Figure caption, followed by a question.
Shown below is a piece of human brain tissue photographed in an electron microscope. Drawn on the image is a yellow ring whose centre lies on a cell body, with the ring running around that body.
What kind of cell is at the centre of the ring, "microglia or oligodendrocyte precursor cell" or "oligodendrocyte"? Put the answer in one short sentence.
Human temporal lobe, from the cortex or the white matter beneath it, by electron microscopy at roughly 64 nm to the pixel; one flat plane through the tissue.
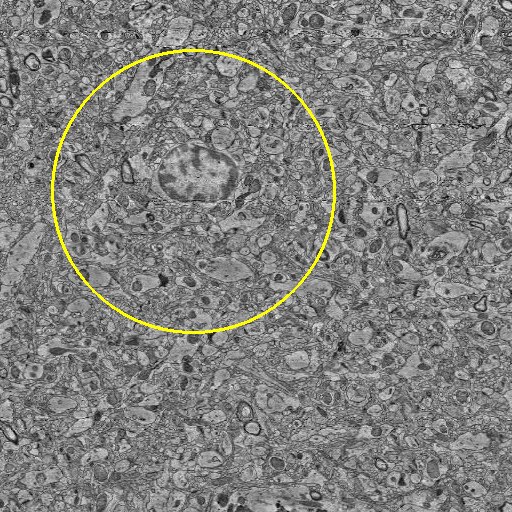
The ring marks the cell body of a microglial cell or oligodendrocyte precursor cell.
